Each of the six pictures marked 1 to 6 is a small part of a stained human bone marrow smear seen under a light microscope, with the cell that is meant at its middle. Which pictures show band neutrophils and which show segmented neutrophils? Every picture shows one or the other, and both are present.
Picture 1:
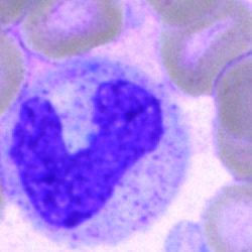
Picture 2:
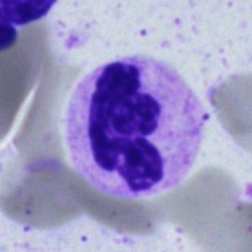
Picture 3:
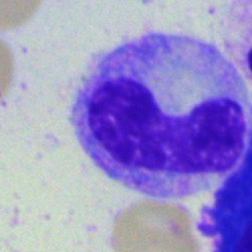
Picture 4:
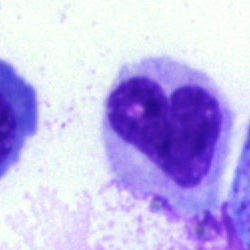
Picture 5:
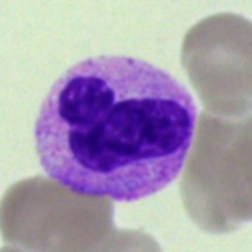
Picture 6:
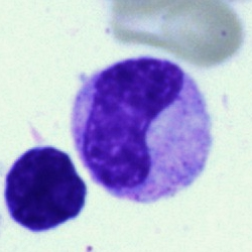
1: band neutrophil
2: segmented neutrophil
3: band neutrophil
4: band neutrophil
5: segmented neutrophil
6: band neutrophil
